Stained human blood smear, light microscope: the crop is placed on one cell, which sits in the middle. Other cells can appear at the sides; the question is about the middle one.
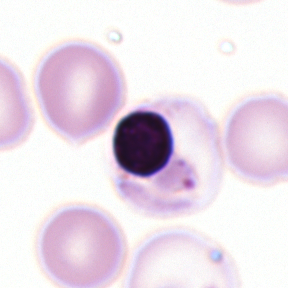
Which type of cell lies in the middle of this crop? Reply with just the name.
normoblast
